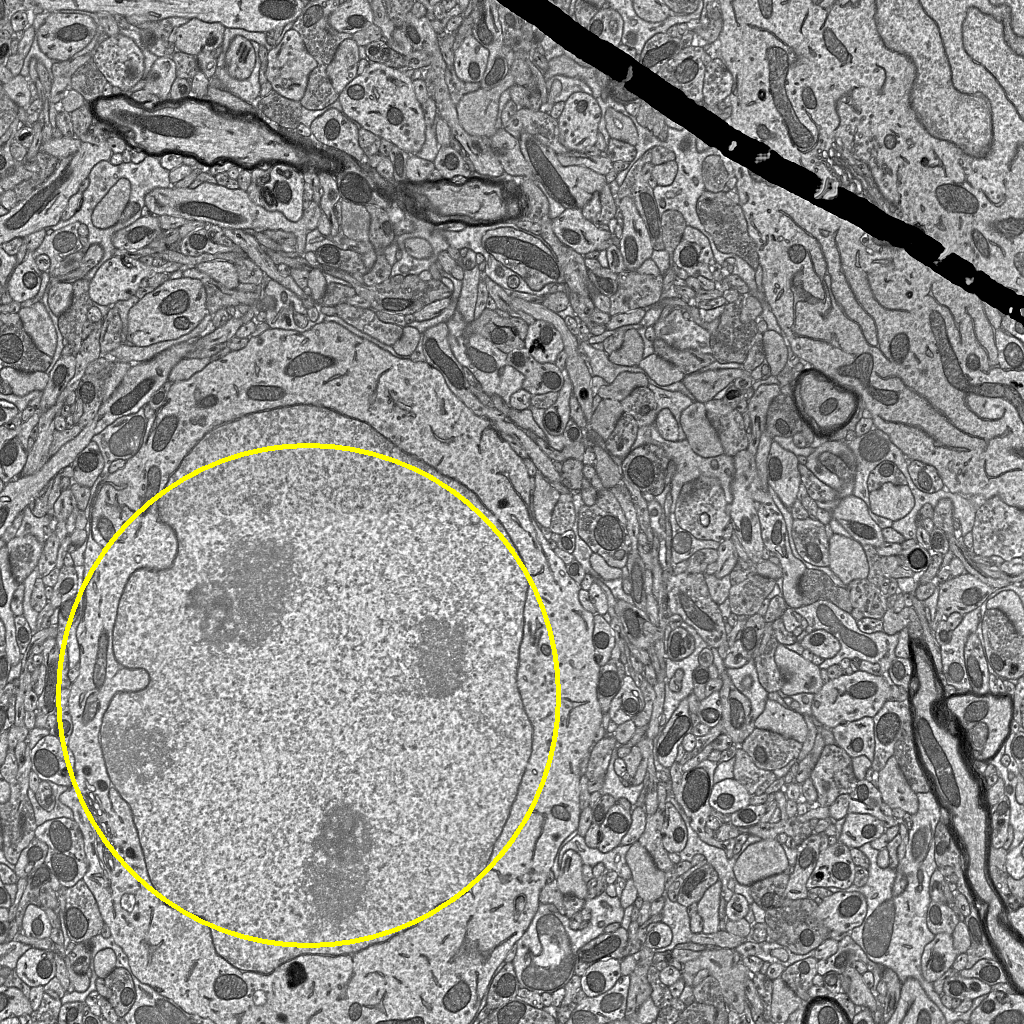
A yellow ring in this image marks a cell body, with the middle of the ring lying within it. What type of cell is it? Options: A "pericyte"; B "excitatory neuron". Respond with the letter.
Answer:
B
